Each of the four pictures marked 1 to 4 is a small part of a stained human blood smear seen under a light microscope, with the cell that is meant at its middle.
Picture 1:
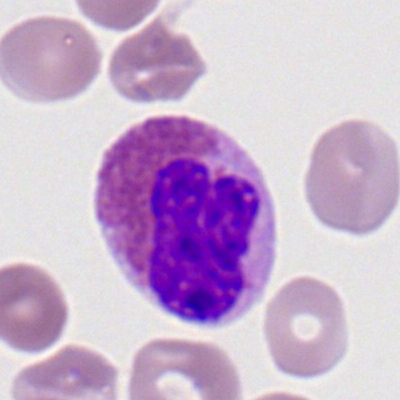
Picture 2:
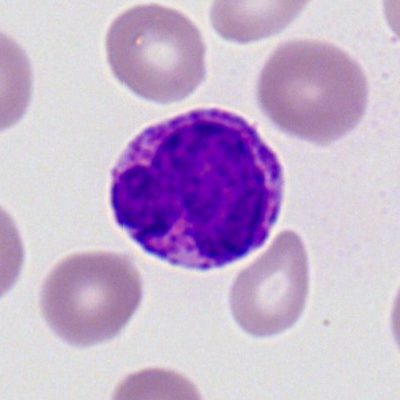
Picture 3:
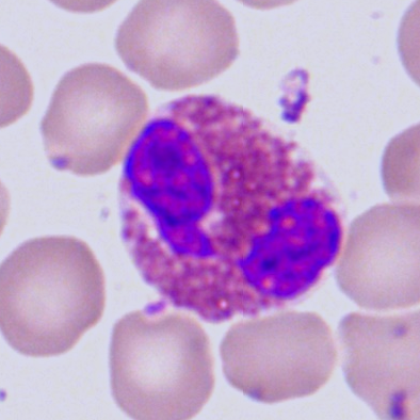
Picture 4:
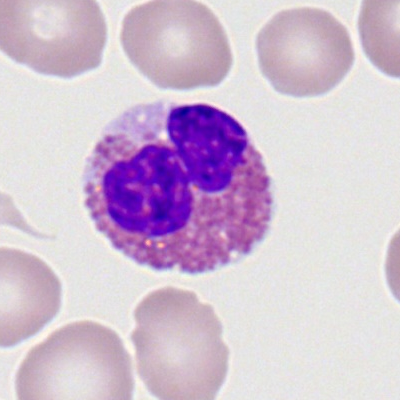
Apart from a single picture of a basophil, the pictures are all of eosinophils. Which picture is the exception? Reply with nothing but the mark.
2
